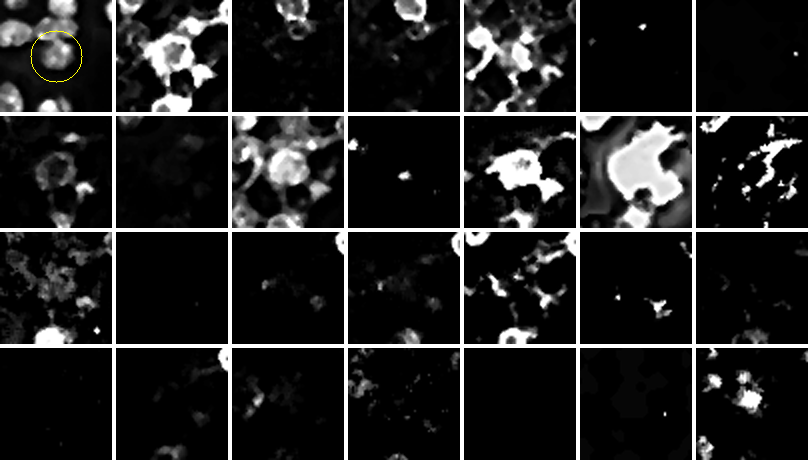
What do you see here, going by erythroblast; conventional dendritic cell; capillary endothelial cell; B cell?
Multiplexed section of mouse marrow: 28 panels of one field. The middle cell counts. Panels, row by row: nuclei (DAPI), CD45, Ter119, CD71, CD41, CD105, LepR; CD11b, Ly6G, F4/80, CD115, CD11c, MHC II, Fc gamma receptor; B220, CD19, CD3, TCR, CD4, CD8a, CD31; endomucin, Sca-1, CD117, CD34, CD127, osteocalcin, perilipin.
I see a conventional dendritic cell.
